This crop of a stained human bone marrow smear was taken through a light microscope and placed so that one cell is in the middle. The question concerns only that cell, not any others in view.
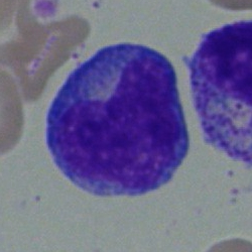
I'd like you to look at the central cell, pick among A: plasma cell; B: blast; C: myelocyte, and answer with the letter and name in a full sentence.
Option B is the right one, for the cell in the middle is a blast.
